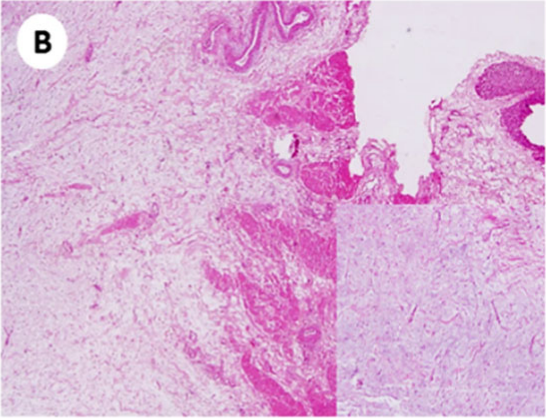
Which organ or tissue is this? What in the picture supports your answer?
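Myxoid lesion. Most of the field is pale, loose, lightly stained stroma with sparse cells. The pale stroma has no sharp border.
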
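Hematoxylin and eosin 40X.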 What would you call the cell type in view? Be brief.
Spindle / stellate cells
